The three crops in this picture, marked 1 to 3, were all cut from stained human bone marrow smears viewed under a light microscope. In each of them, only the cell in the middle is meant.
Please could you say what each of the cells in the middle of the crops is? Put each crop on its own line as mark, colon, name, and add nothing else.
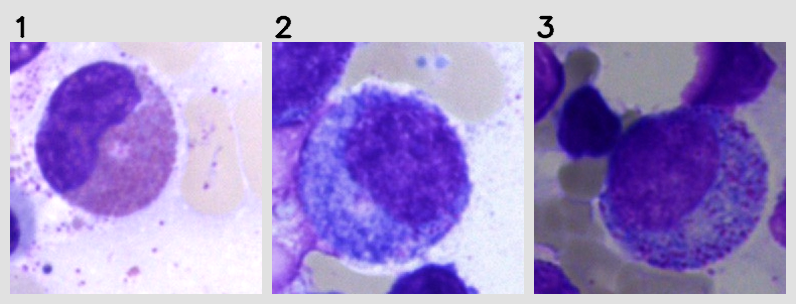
1: eosinophil
2: promyelocyte
3: promyelocyte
